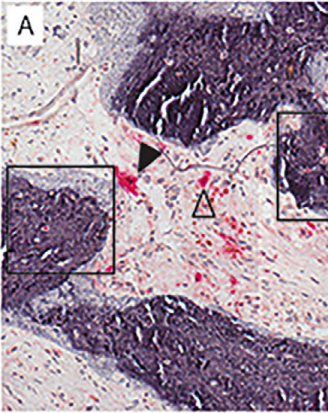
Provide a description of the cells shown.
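This bone biopsy shows thick, dark purple bone trabeculae bordered by broad pale grey-blue rims, with the space between them filled by pale pink fibrous tissue rather than fat. The fibrous marrow contains many small elongated spindle-shaped cells with dark nuclei. Small oval spaces are visible within the dark bone matrix.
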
